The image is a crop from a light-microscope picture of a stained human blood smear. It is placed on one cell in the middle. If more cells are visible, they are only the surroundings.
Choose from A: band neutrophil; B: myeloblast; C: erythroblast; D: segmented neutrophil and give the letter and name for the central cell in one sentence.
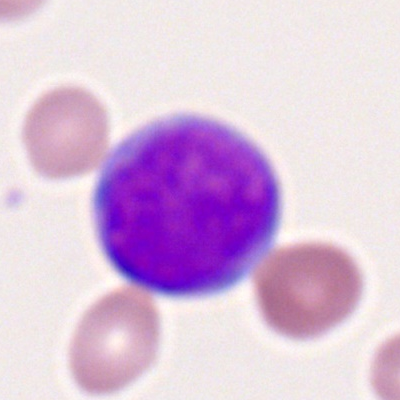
In this crop the central cell is a myeloblast, which option B correctly states.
